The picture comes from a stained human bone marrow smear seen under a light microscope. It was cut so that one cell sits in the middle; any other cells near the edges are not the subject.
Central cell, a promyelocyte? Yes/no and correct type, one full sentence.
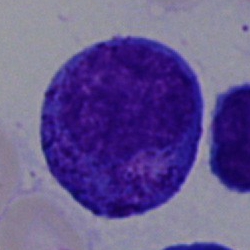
Yes, at the centre of the crop lies a promyelocyte.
